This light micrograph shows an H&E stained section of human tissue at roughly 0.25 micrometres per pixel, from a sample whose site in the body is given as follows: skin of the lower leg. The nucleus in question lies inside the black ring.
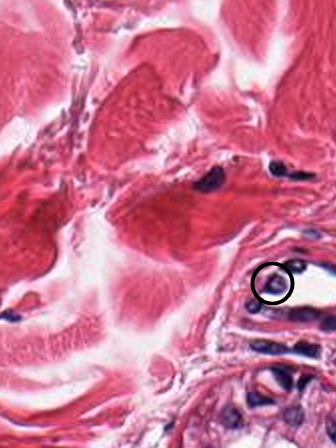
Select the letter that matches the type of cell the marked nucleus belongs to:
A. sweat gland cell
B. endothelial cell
B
